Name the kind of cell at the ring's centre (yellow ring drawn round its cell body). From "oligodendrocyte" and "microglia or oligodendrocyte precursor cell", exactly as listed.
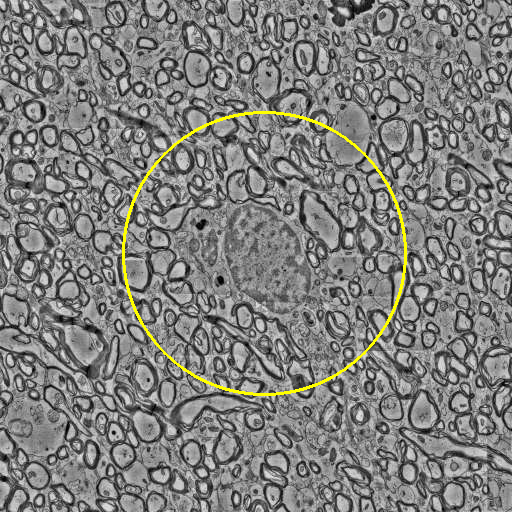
oligodendrocyte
